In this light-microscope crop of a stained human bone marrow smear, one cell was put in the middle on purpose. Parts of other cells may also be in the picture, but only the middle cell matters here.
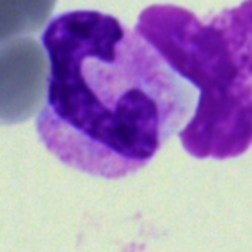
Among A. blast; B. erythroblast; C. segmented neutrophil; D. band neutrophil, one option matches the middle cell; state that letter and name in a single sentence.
Here the right option is D, as the cell in the middle is a band neutrophil.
